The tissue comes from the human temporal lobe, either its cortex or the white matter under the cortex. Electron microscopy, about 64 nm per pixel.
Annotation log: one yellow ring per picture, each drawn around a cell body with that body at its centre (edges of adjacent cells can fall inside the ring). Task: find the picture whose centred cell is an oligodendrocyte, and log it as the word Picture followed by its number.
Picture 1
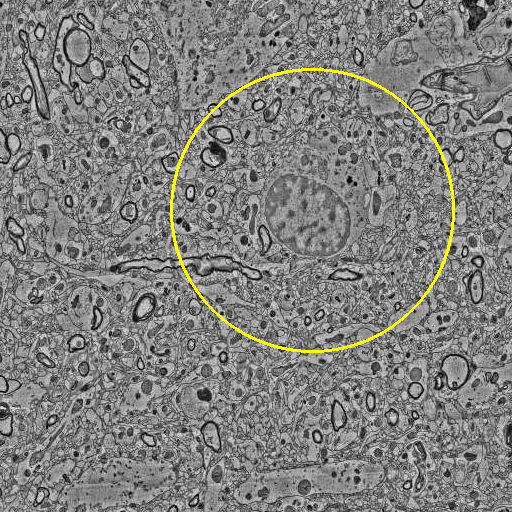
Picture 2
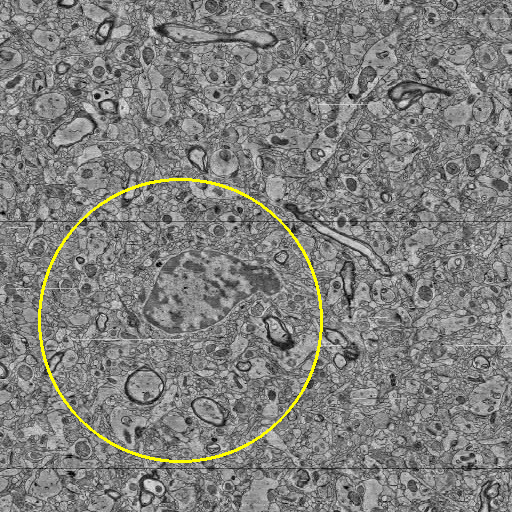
Picture 1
